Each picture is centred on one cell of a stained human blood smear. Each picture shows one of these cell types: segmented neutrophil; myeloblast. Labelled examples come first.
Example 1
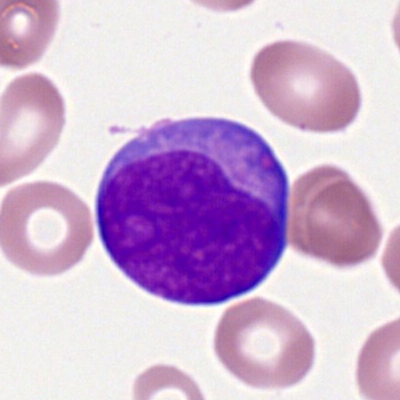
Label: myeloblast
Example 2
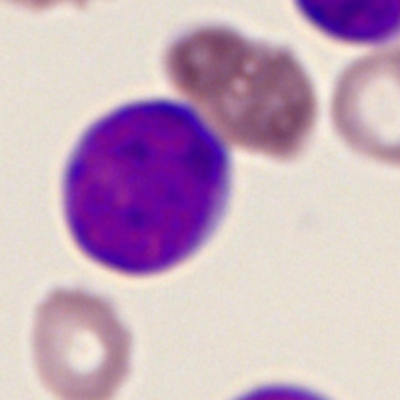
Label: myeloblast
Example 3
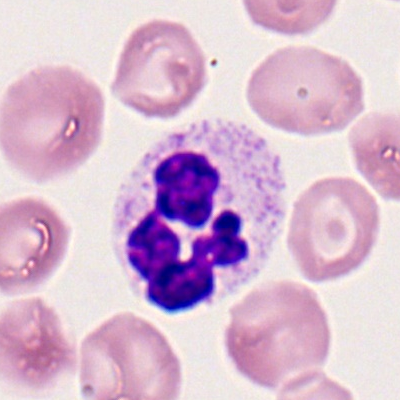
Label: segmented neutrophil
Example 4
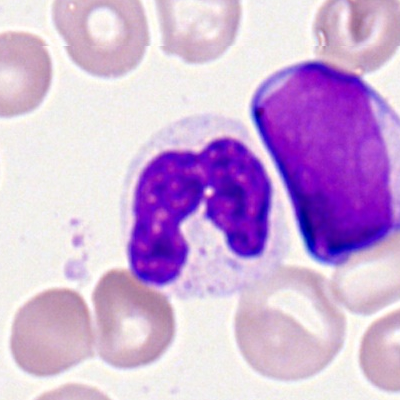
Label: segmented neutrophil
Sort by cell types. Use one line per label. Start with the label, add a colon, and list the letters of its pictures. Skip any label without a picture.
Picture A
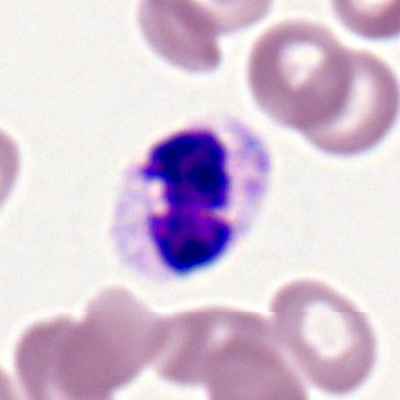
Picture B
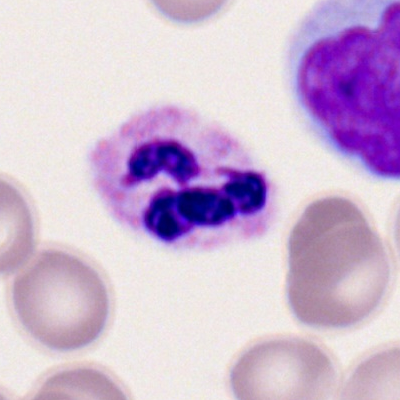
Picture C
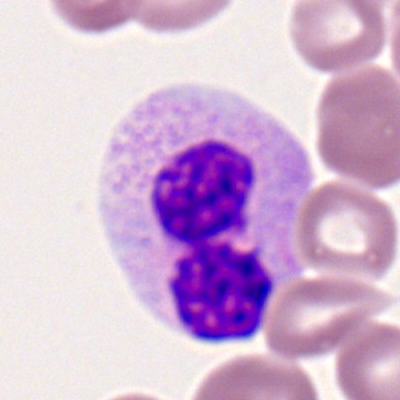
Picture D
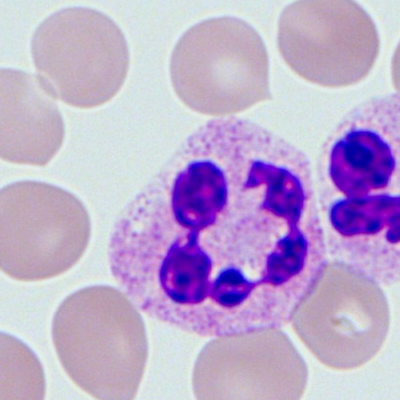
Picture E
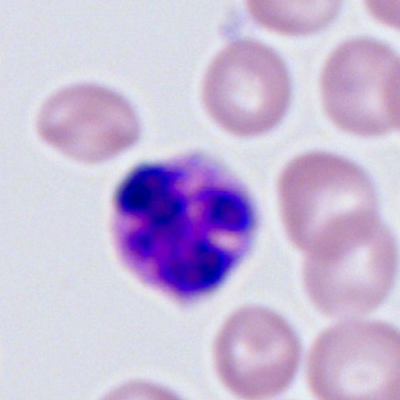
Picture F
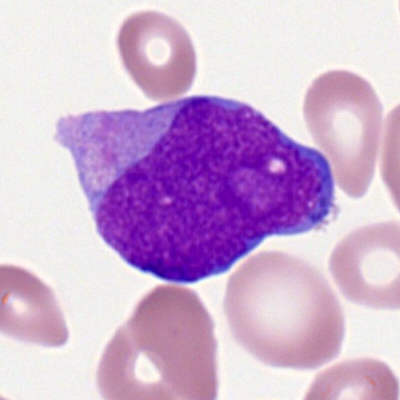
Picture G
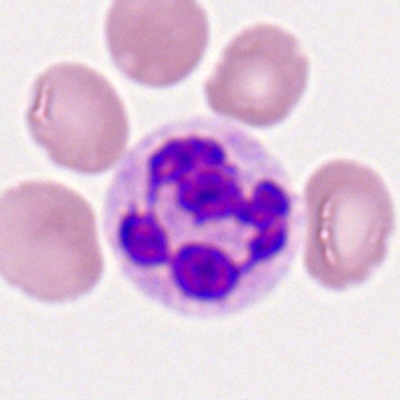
segmented neutrophil: A, B, C, D, E, G
myeloblast: F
